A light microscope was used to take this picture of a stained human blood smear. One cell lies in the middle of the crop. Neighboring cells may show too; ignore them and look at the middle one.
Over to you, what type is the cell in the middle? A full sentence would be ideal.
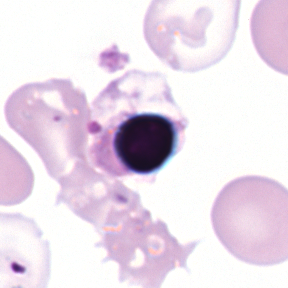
The cell in the middle of the field of view is a normoblast.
